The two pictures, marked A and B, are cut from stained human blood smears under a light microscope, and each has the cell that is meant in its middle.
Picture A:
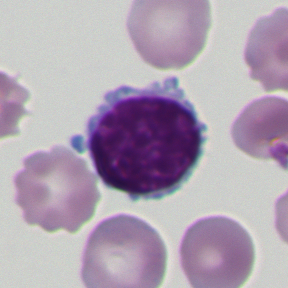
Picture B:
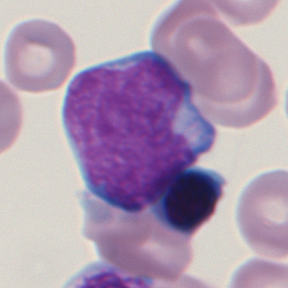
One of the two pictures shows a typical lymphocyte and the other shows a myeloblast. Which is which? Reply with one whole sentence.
Picture A shows a typical lymphocyte and picture B shows a myeloblast.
